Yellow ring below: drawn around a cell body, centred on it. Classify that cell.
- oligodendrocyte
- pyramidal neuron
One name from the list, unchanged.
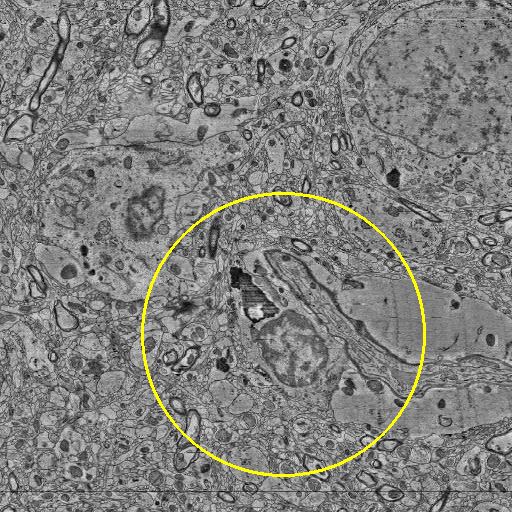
oligodendrocyte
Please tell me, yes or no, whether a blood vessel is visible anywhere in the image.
Yes, one shows.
